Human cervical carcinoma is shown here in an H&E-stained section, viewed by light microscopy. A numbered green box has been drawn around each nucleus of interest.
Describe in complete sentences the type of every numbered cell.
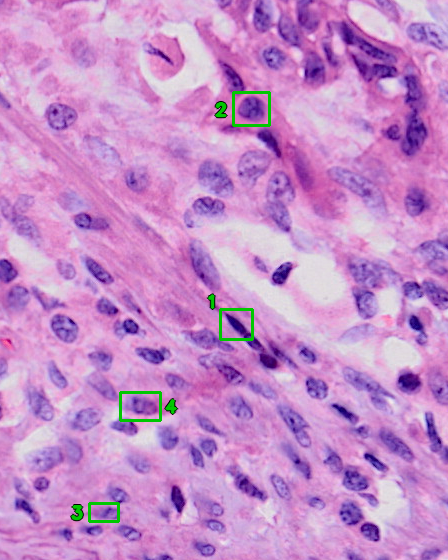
Cell 1 is a lymphocyte, cell 2 is a squamous carcinoma cell, cell 3 is a smooth muscle cell and cell 4 is a macrophage or monocyte.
